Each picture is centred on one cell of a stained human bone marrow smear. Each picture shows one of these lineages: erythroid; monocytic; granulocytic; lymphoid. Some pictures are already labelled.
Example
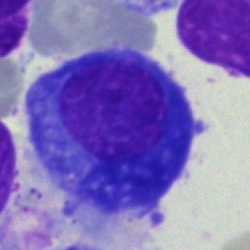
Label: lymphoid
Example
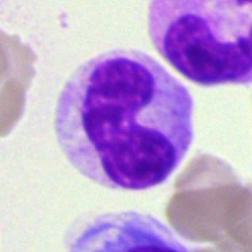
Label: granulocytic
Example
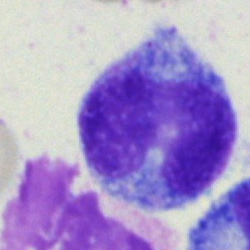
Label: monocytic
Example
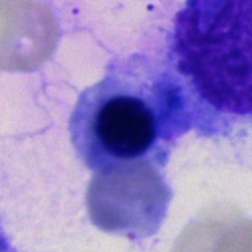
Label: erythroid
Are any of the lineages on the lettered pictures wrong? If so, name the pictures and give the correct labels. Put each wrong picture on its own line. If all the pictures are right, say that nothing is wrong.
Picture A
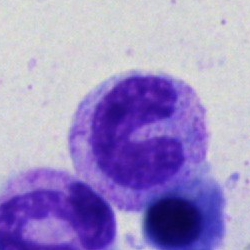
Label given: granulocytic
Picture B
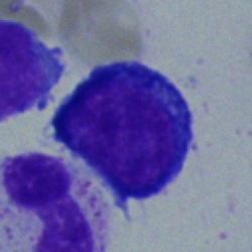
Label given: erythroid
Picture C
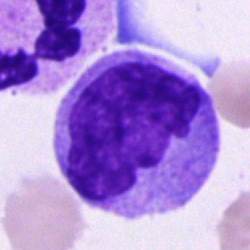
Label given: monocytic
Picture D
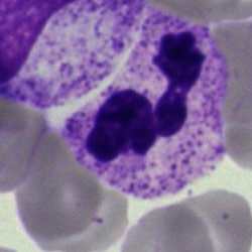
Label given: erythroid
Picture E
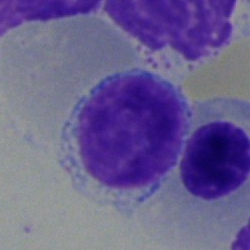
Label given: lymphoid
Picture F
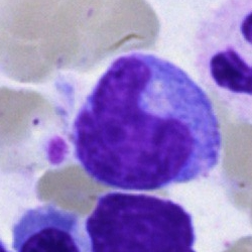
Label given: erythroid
D: not erythroid but granulocytic
F: not erythroid but monocytic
